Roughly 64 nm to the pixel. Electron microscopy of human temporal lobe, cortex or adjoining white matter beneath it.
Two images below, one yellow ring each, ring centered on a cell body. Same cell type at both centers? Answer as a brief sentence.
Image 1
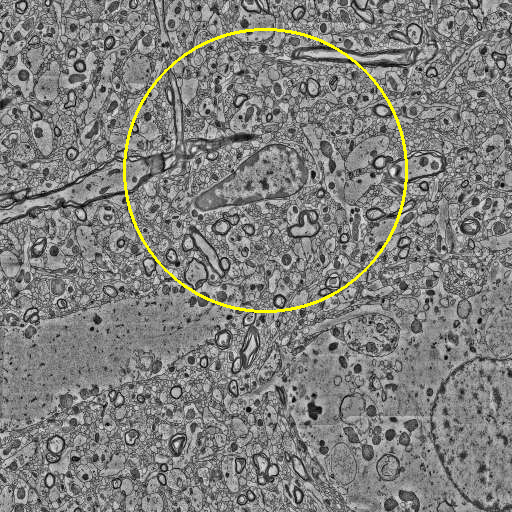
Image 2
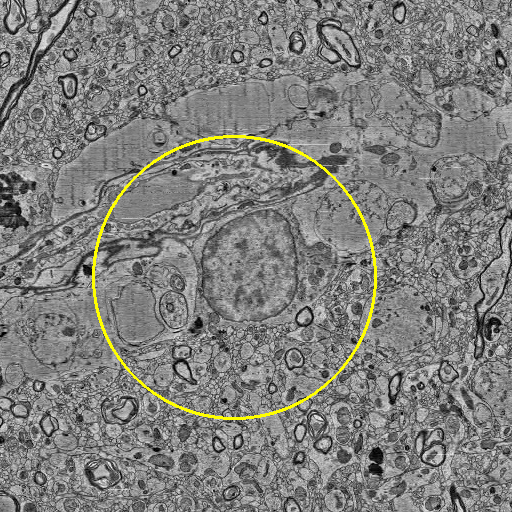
No, the cells are of two separate types.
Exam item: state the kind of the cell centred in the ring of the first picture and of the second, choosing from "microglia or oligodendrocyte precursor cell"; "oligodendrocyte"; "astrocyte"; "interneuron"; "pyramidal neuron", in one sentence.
The first picture shows a microglial cell or oligodendrocyte precursor cell at the ring centre and the second shows an oligodendrocyte.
